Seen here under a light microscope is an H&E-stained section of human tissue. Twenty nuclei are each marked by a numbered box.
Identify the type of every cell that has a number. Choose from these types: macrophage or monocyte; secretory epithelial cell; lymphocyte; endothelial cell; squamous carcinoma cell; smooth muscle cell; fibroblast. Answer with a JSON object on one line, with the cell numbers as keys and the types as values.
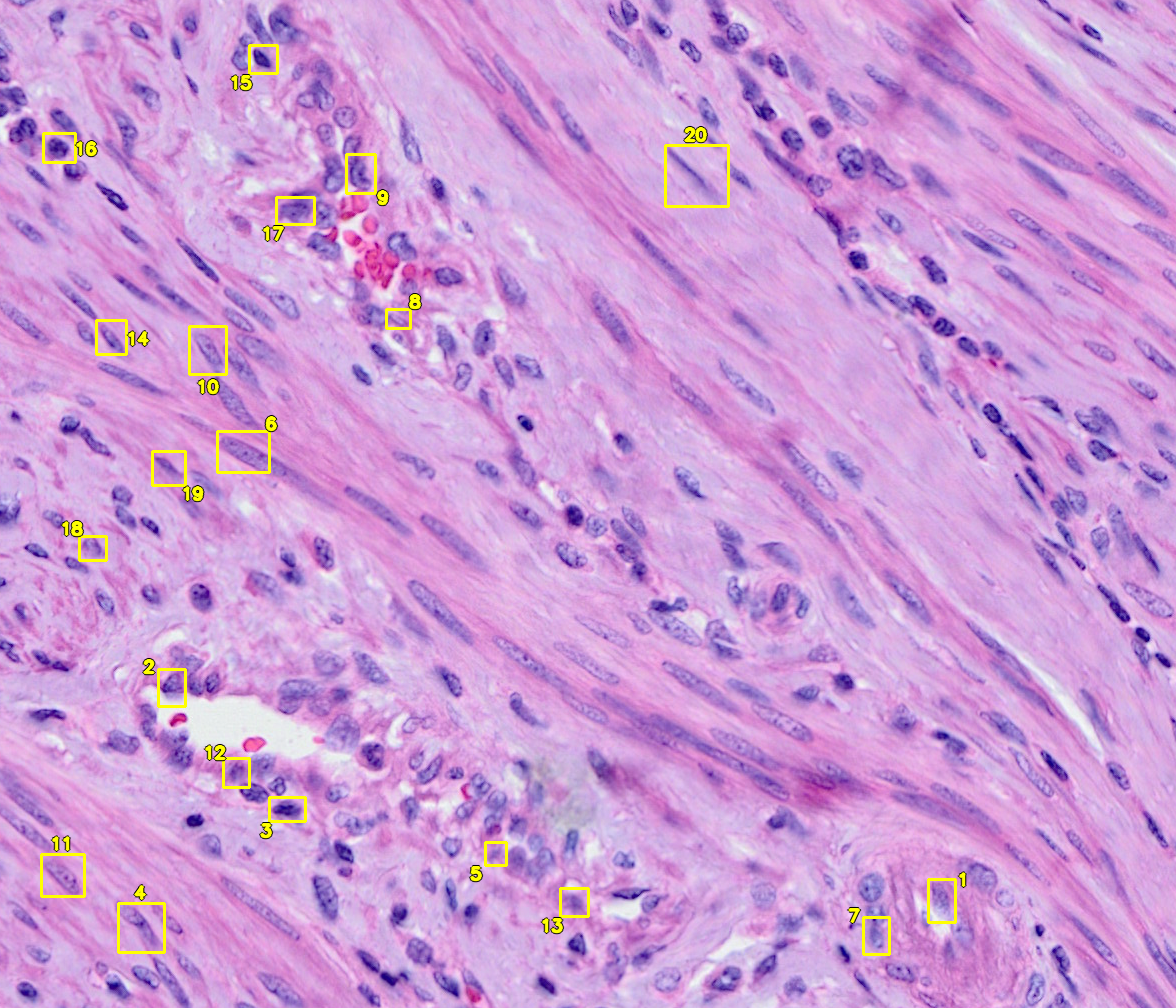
{"1": "endothelial cell", "2": "endothelial cell", "3": "lymphocyte", "4": "smooth muscle cell", "5": "endothelial cell", "6": "smooth muscle cell", "7": "smooth muscle cell", "8": "endothelial cell", "9": "endothelial cell", "10": "smooth muscle cell", "11": "smooth muscle cell", "12": "endothelial cell", "13": "endothelial cell", "14": "smooth muscle cell", "15": "lymphocyte", "16": "lymphocyte", "17": "endothelial cell", "18": "smooth muscle cell", "19": "smooth muscle cell", "20": "fibroblast"}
